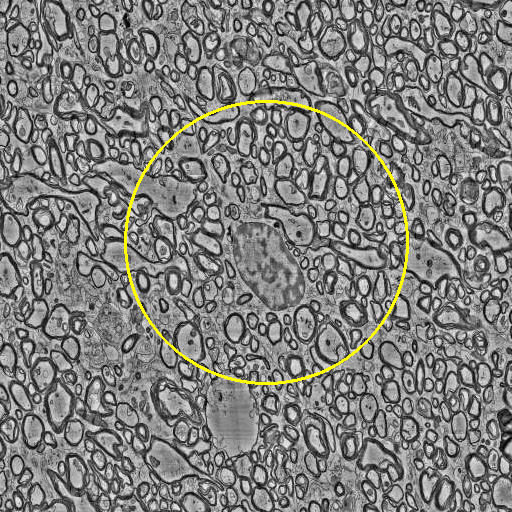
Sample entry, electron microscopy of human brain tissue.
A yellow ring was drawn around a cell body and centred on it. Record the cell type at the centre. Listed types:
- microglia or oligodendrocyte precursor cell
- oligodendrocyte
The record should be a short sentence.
The cell at the ring's centre is a microglial cell or oligodendrocyte precursor cell.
